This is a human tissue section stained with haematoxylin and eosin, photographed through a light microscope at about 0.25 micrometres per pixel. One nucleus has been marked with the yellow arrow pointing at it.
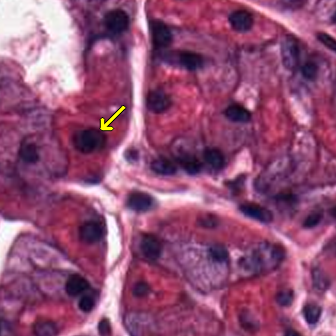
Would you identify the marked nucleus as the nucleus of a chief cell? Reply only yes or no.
no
